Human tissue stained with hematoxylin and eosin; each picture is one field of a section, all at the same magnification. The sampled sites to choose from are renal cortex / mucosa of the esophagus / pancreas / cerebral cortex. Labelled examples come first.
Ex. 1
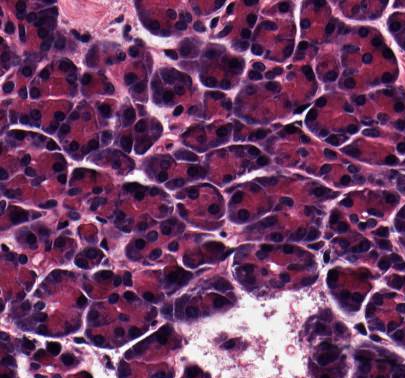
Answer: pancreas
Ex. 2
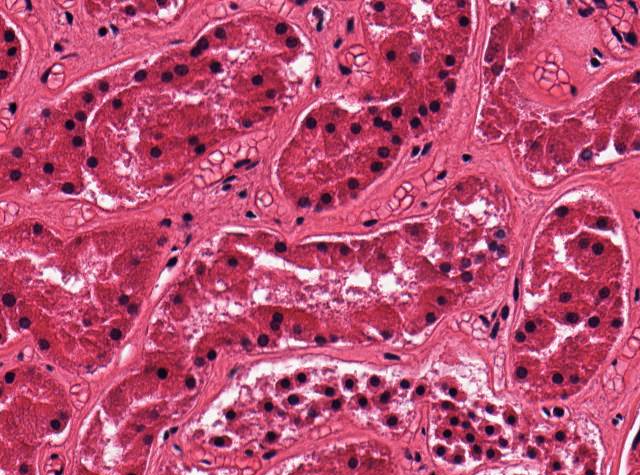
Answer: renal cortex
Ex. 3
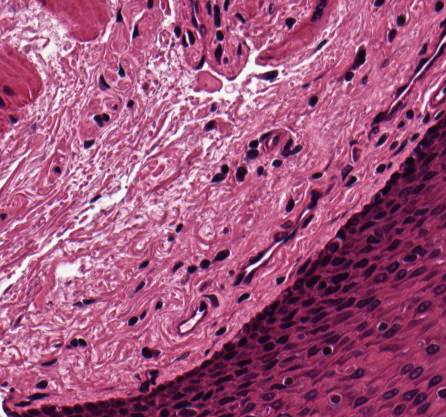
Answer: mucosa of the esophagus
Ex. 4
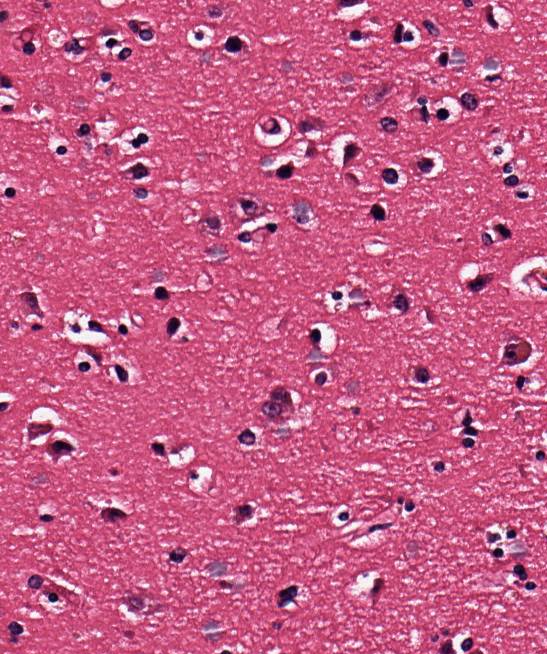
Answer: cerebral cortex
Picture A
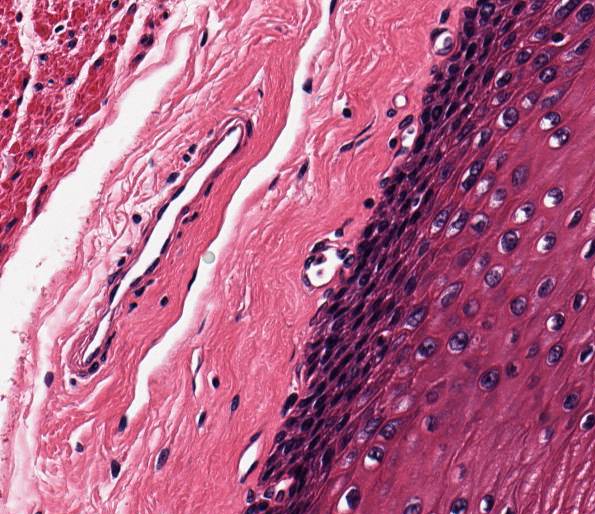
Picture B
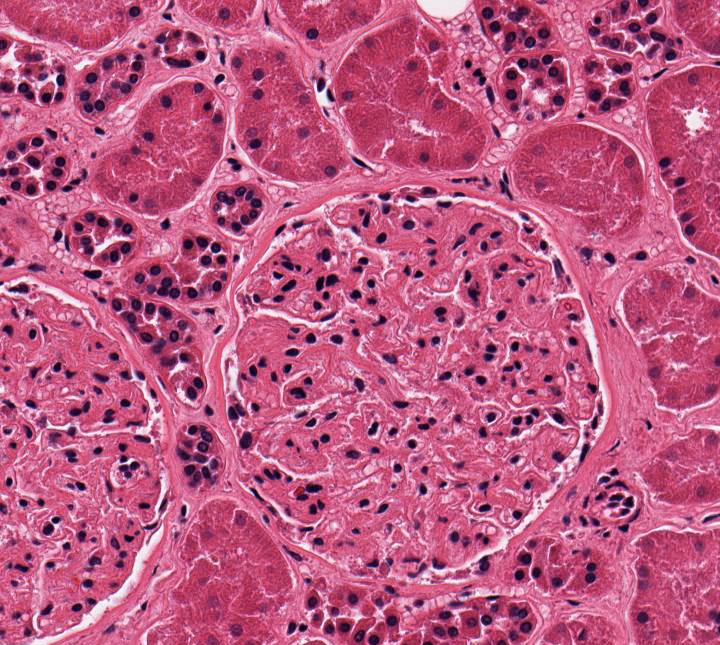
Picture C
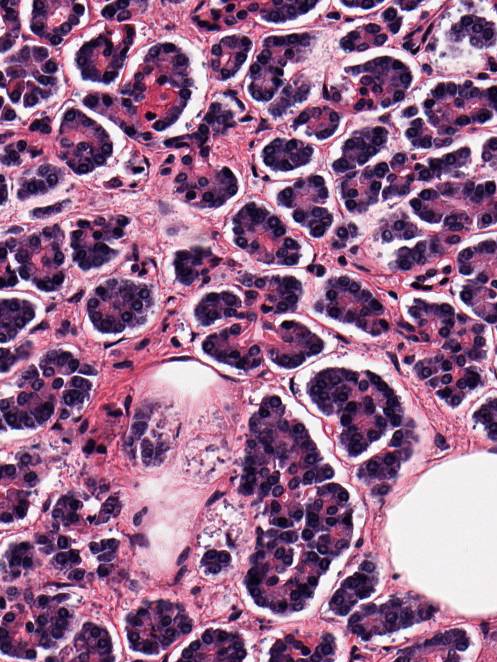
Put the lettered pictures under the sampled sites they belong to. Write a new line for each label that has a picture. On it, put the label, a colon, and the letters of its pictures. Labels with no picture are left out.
renal cortex: B
mucosa of the esophagus: A
pancreas: C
